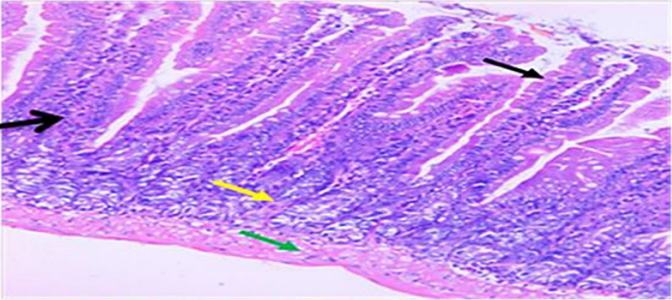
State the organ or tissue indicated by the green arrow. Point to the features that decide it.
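The arrow points at the pink band along the lower edge of the intestinal wall. The band lies beneath the densely cellular crypt layer. On this evidence: muscle layer.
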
